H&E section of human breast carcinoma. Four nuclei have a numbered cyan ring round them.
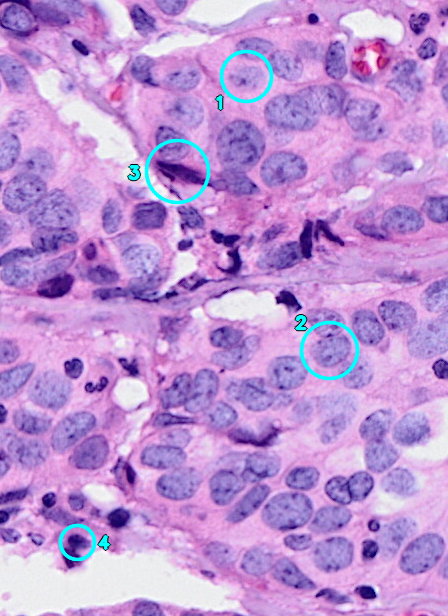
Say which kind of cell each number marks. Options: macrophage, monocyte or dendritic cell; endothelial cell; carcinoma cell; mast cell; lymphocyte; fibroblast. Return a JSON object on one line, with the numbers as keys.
{"1": "carcinoma cell", "2": "carcinoma cell", "3": "carcinoma cell", "4": "lymphocyte"}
